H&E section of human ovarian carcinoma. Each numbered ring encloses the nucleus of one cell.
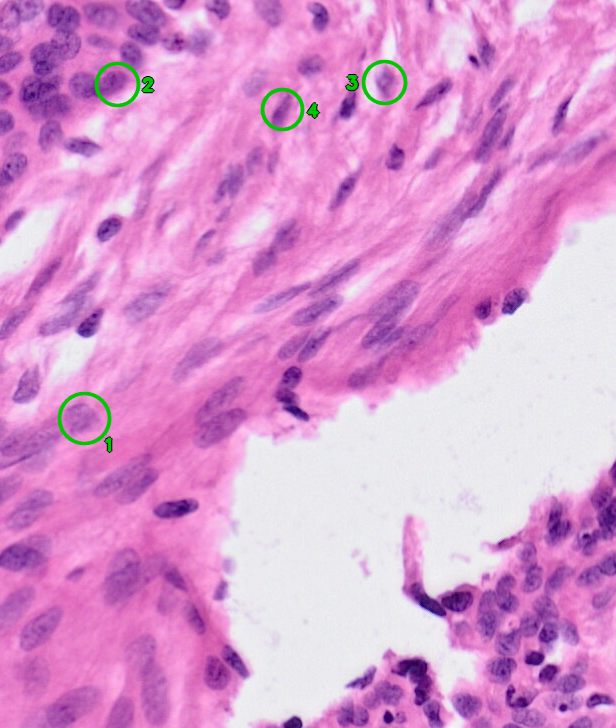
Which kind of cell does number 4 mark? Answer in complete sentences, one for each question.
In this section, the cell tagged 4 is a fibroblast.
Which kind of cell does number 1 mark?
The cell referenced by the number 1 is a fibroblast in this field.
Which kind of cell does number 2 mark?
Classified as a carcinoma cell is the cell with the number 2.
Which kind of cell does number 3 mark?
The nucleus labeled 3 belongs to a fibroblast.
